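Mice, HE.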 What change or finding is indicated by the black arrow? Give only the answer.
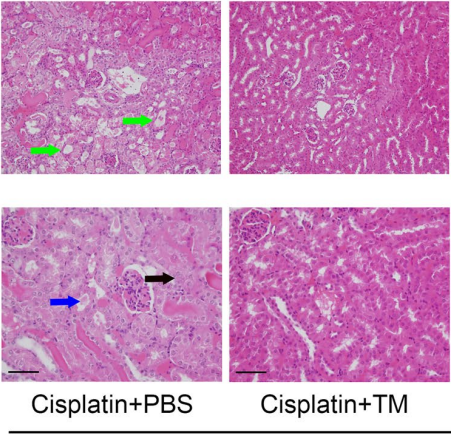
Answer: necrosis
